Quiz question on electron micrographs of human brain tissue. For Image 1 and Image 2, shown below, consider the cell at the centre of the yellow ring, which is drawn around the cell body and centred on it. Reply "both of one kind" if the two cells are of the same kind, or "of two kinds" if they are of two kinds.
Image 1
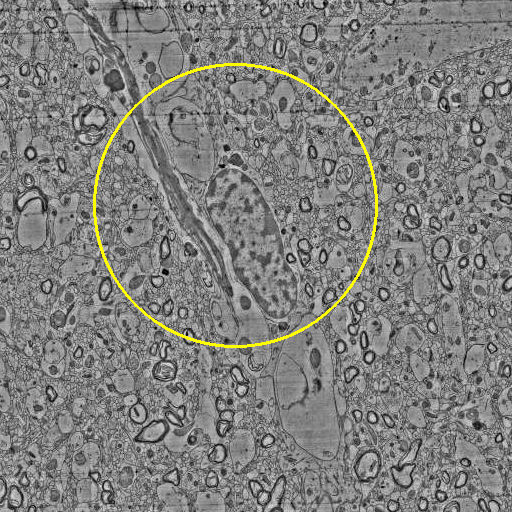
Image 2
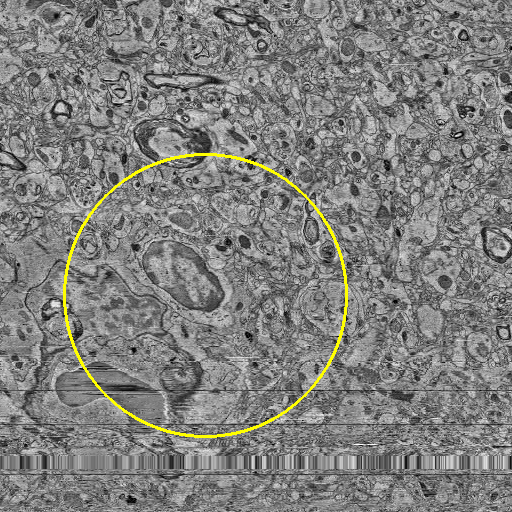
both of one kind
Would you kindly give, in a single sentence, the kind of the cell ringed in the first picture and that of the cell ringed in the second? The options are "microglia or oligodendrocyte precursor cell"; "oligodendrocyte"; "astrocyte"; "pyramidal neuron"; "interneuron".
Both rings mark a microglial cell or oligodendrocyte precursor cell, one in each picture.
